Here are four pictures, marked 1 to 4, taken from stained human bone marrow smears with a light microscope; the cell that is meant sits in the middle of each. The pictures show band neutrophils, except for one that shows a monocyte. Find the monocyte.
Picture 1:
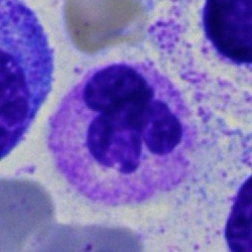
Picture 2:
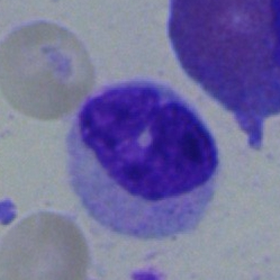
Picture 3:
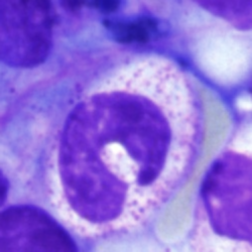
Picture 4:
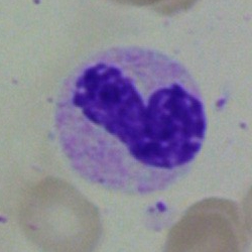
2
